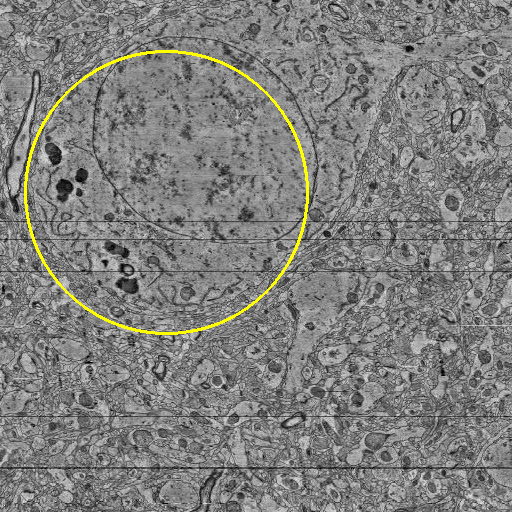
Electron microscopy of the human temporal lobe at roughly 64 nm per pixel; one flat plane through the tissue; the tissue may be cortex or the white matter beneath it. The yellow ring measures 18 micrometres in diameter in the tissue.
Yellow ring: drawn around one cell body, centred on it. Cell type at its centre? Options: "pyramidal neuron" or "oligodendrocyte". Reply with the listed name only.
pyramidal neuron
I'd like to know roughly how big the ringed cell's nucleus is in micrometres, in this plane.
Approximately 16 x 13 micrometres in this plane.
